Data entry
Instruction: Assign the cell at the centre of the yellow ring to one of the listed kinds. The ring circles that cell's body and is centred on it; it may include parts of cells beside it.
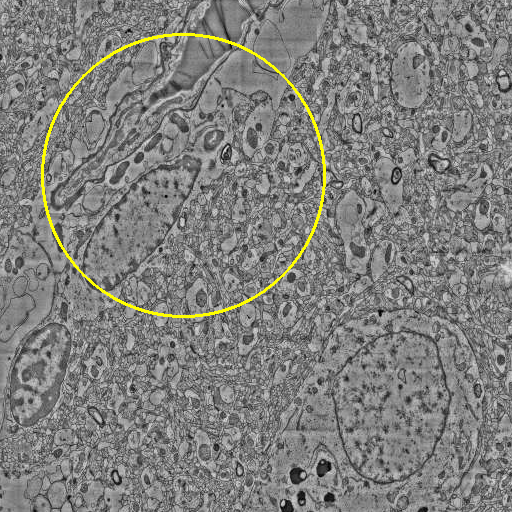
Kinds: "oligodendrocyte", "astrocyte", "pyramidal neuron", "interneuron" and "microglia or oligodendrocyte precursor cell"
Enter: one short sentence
The centre of the ring falls on a microglial cell or oligodendrocyte precursor cell.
